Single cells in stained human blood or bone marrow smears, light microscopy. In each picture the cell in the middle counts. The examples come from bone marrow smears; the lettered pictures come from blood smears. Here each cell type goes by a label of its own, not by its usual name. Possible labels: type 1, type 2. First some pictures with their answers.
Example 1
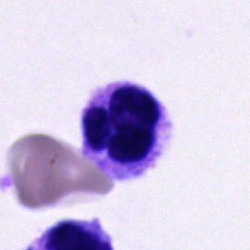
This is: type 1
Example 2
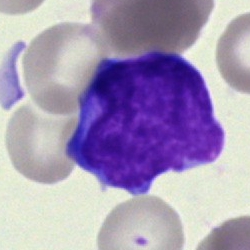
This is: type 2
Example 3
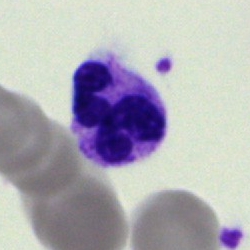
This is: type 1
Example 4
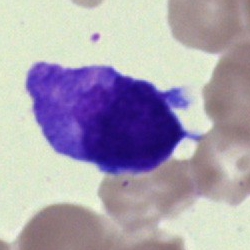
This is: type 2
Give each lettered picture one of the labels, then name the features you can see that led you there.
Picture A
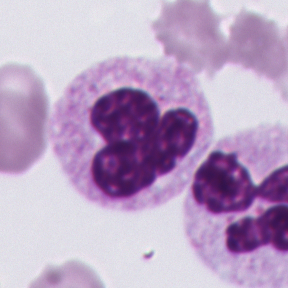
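Label: type 1. A wide rim of pale pink cytoplasm surrounds the nucleus.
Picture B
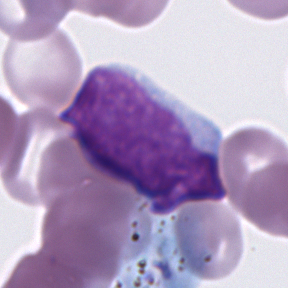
Label: type 2. The nucleus fills most of the cell.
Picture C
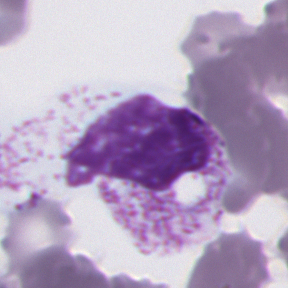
Label: type 1. The background of the cytoplasm is very pale, nearly colourless.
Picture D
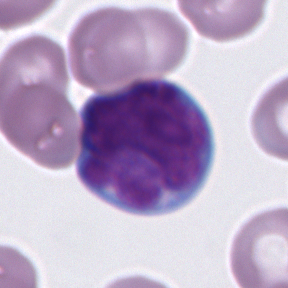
Label: type 2. The cytoplasm forms a narrow rim that is widest along the lower edge of the cell.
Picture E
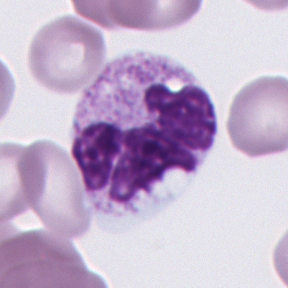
Label: type 1. The nucleus is made of several lumpy lobes joined together.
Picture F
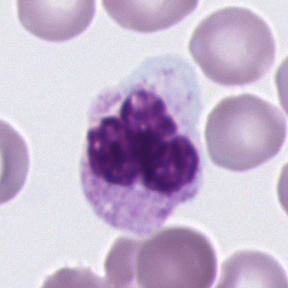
Label: type 1. The cytoplasm is plentiful and pale.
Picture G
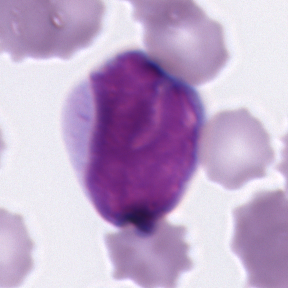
Label: type 2. The cytoplasm forms only a narrow crescent along the left side of the cell.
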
